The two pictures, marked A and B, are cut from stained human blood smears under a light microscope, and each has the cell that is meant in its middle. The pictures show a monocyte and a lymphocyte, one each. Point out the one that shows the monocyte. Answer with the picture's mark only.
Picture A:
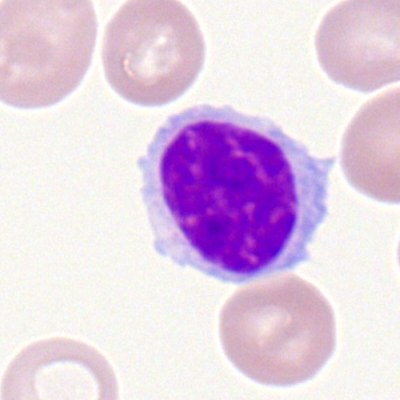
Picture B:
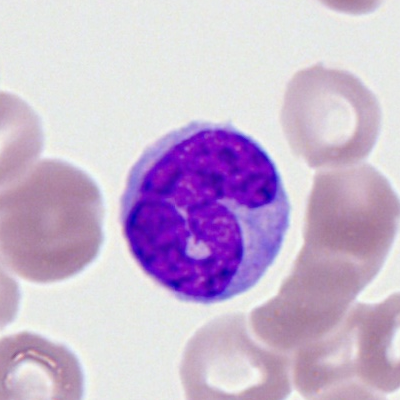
B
